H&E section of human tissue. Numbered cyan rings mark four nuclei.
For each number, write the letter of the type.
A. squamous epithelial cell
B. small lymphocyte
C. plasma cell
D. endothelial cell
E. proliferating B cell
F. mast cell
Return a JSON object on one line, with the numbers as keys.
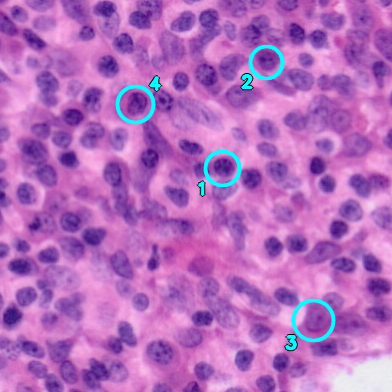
{"1": "C", "2": "C", "3": "A", "4": "C"}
